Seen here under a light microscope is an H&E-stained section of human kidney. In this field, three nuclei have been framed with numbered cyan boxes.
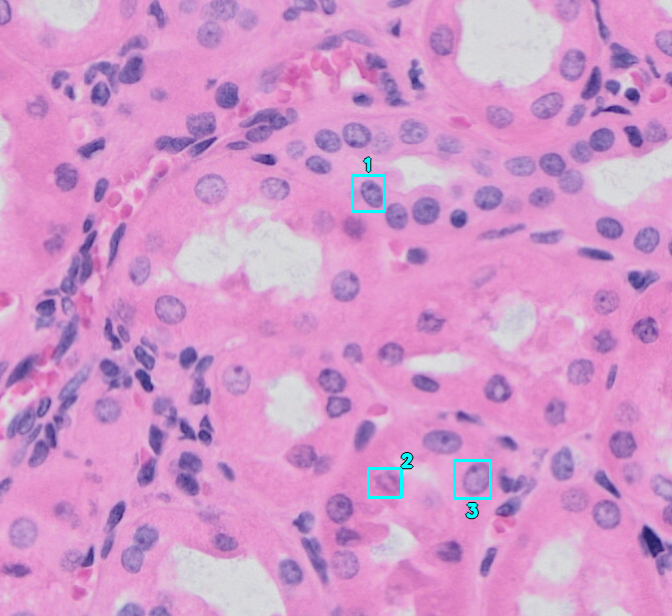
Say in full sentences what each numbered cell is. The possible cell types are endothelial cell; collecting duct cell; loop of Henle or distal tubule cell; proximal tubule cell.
Cell 1 is a collecting duct cell. Cells 2 and 3 are proximal tubule cells.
